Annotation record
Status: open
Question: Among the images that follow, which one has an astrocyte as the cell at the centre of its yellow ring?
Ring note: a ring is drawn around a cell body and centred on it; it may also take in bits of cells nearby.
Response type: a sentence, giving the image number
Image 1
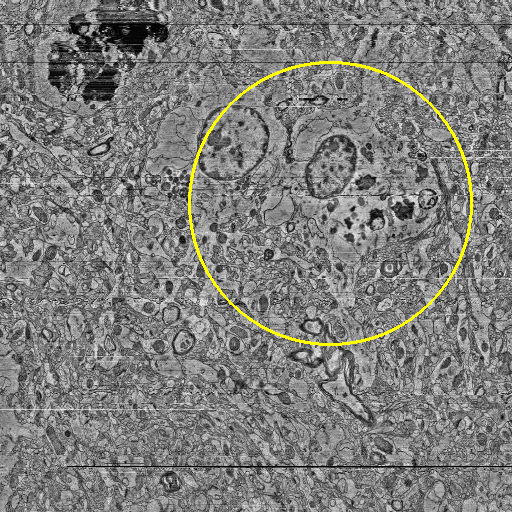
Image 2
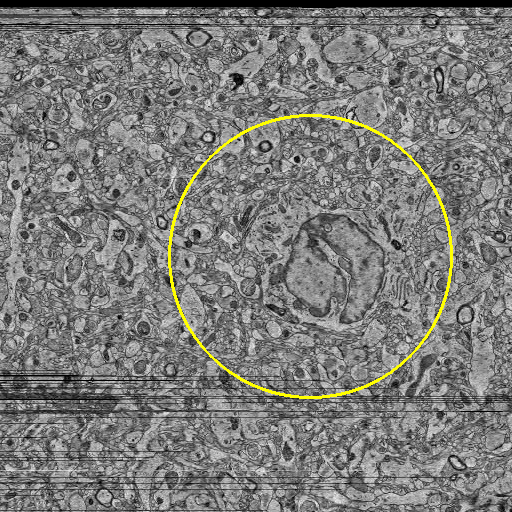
Image 1 shows it at the centre of its ring.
